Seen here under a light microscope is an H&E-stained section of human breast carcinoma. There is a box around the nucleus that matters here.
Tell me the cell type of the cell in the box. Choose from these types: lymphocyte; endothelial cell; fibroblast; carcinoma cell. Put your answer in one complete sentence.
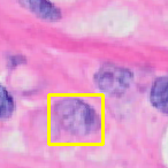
The cell meant here is a carcinoma cell.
